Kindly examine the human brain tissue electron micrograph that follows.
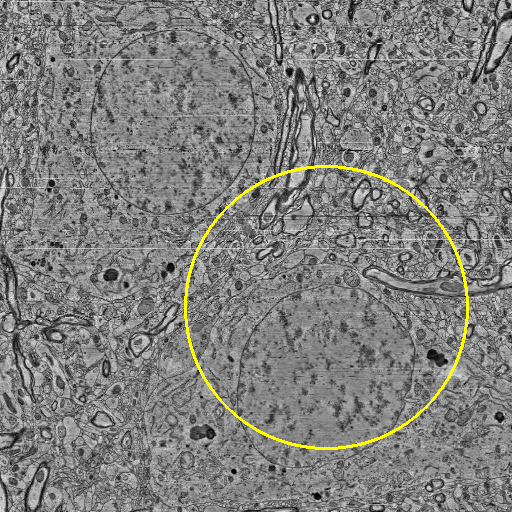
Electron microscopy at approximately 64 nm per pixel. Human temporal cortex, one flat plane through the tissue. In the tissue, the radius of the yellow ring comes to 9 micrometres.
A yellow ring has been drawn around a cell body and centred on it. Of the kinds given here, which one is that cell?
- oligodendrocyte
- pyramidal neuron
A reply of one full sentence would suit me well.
The micrograph's ringed cell, the one at the ring's centre, is a pyramidal neuron.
